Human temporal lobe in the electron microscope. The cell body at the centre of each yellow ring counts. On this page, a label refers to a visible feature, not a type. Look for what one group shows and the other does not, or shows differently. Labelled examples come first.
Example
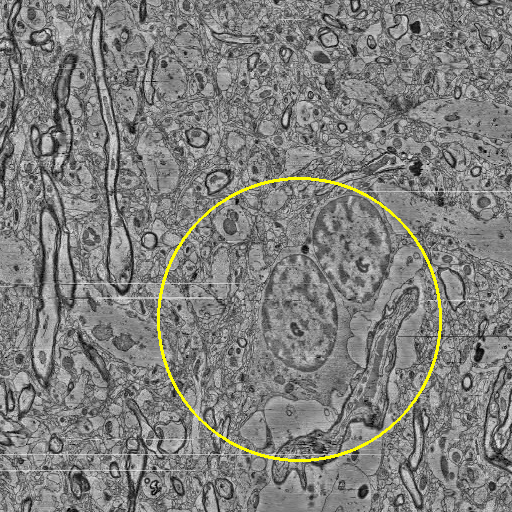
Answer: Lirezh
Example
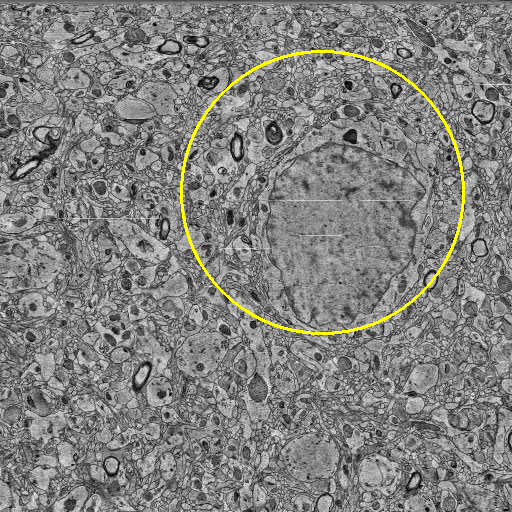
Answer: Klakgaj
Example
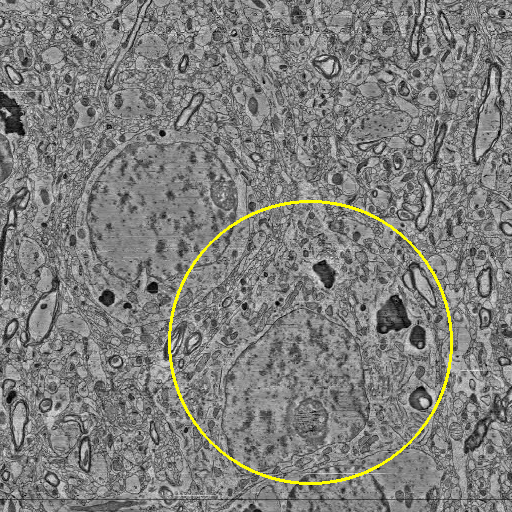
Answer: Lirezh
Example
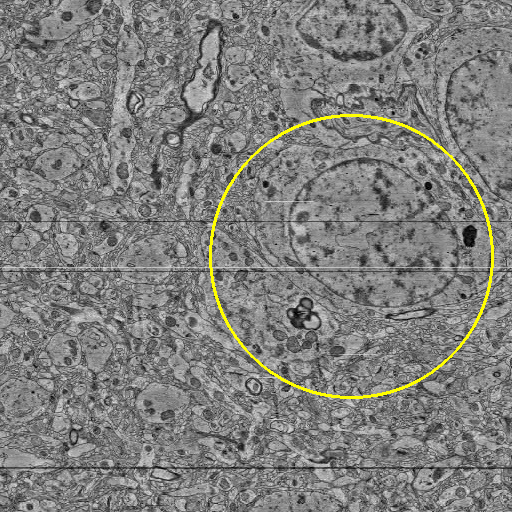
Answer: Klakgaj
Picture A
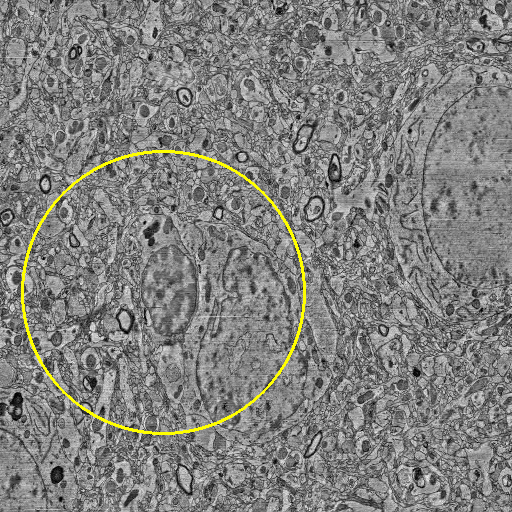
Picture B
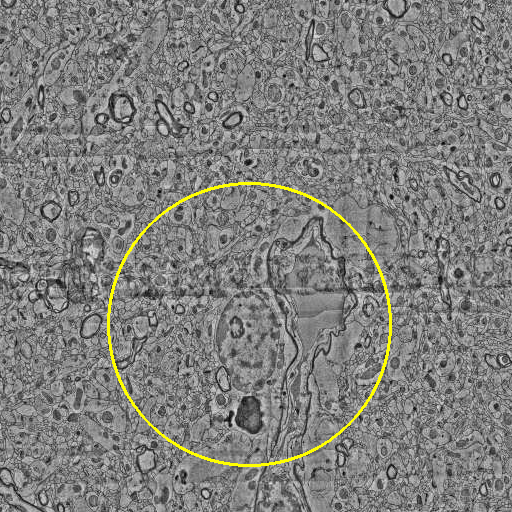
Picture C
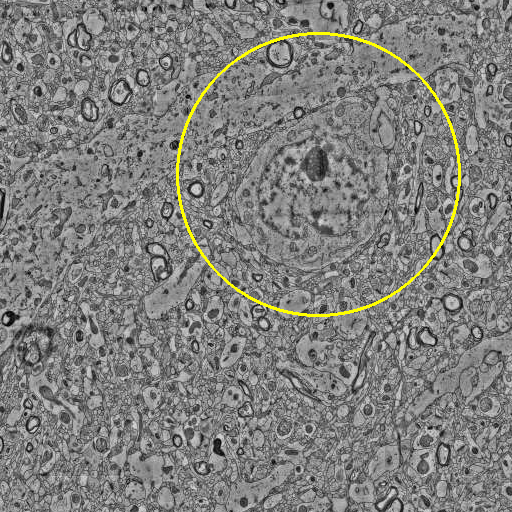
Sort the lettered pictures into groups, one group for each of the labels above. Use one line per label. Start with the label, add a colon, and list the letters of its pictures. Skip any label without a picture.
Lirezh: B, C
Klakgaj: A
